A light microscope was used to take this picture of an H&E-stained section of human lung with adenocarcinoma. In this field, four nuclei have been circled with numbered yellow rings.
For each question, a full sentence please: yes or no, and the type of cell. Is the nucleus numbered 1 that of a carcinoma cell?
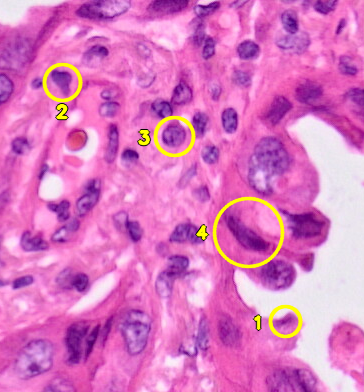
Yes, the cell with number 1 is a carcinoma cell.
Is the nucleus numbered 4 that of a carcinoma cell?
Yes, of the numbered cells, number 4 is a carcinoma cell.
